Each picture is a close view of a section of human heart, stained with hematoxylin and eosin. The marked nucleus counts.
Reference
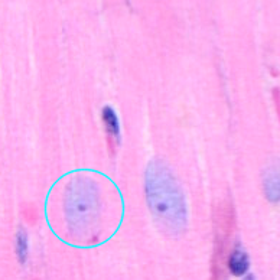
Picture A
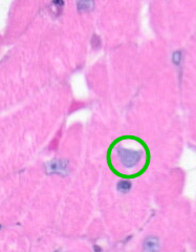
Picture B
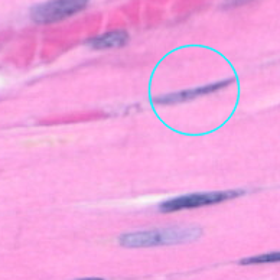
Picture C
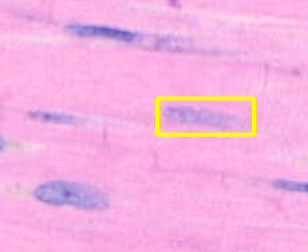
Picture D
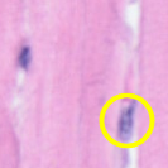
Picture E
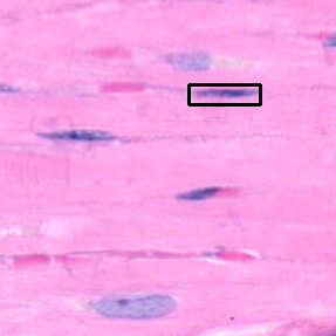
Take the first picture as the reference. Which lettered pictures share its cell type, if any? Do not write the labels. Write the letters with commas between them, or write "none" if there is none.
A, C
